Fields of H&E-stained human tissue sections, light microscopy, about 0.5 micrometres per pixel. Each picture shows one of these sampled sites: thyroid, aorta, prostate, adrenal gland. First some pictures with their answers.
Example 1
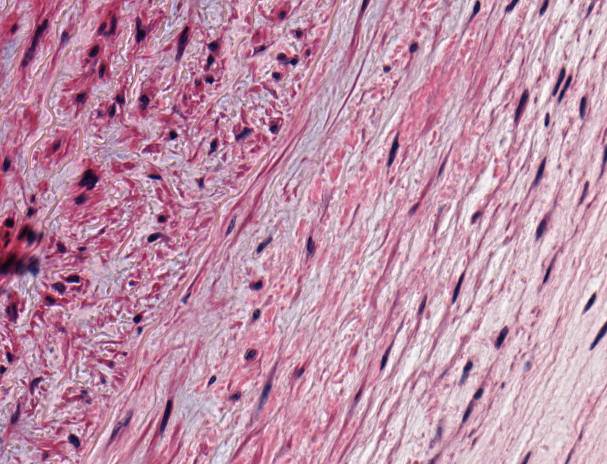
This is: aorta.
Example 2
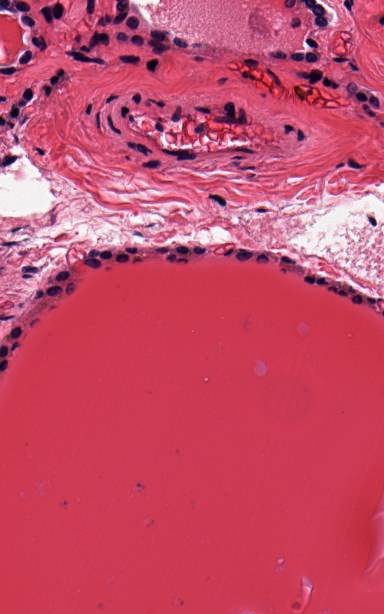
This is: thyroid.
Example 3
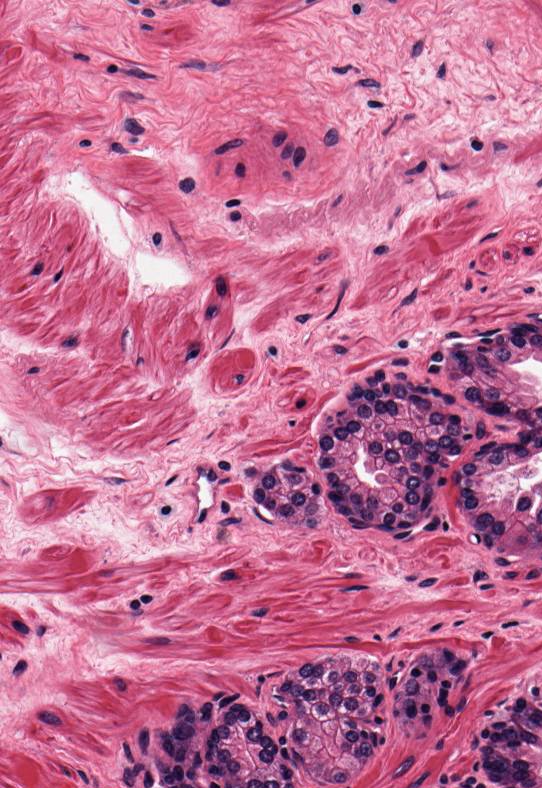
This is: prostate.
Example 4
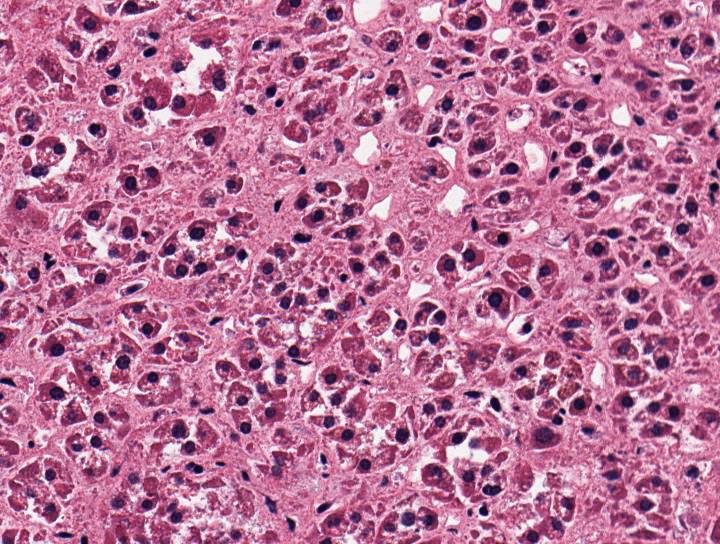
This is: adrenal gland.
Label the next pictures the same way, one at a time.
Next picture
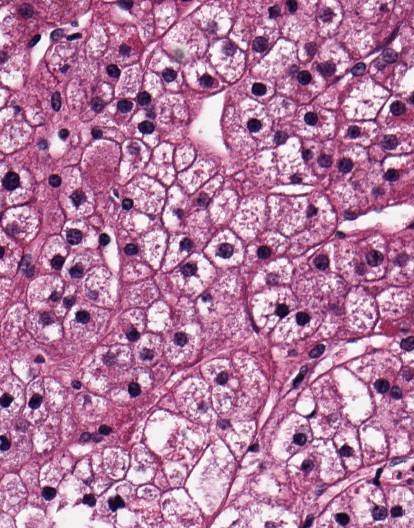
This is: adrenal gland.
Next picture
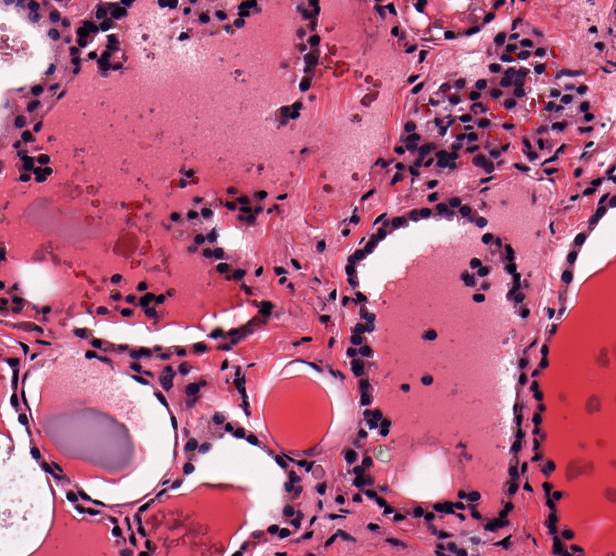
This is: thyroid.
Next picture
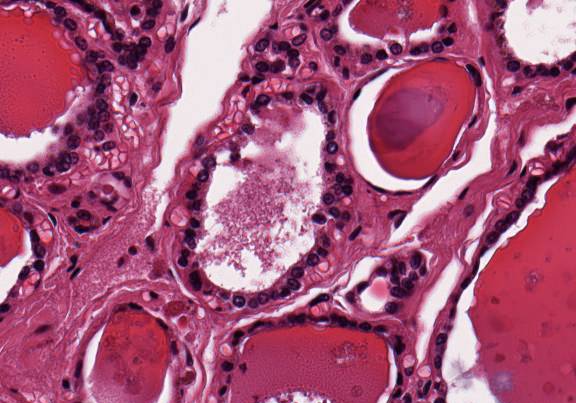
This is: thyroid.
